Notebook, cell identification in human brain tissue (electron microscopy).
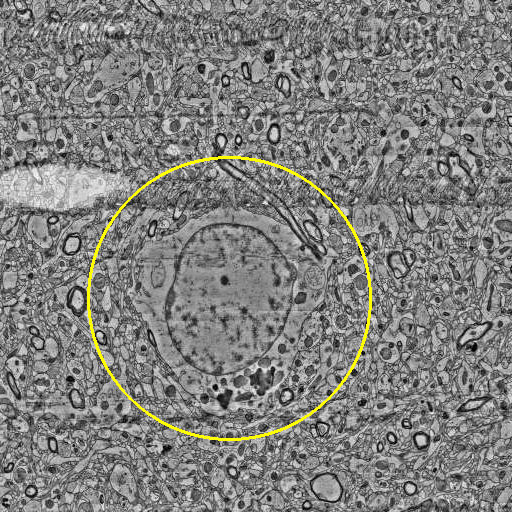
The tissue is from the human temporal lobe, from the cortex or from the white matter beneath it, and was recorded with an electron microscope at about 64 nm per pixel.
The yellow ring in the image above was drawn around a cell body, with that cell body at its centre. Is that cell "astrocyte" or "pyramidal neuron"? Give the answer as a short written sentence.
The cell in the ring is an astrocyte.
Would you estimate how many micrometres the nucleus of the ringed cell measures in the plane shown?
Approximately 10 x 8 micrometres in this plane.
